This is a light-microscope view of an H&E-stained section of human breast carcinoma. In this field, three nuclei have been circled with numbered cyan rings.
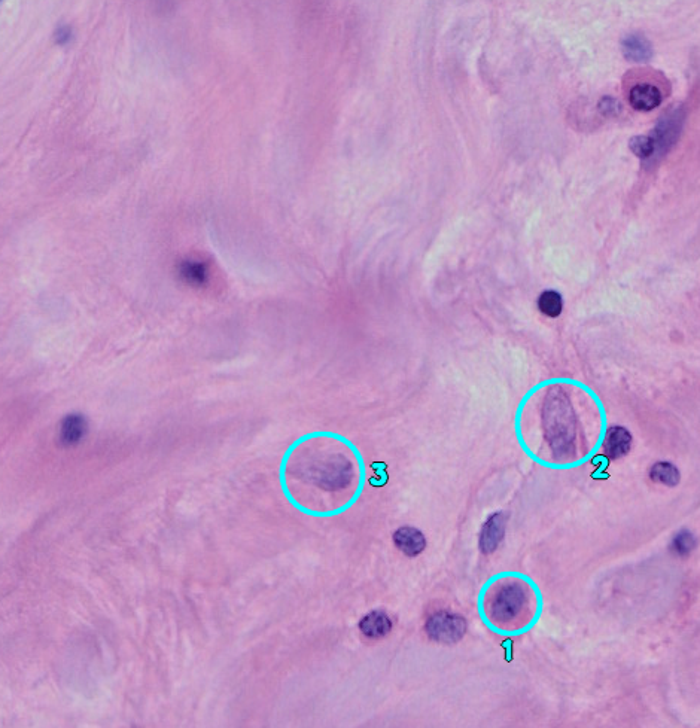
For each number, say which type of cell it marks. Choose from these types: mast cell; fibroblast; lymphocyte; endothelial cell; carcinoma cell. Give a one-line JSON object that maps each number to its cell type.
{"1": "mast cell", "2": "fibroblast", "3": "fibroblast"}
